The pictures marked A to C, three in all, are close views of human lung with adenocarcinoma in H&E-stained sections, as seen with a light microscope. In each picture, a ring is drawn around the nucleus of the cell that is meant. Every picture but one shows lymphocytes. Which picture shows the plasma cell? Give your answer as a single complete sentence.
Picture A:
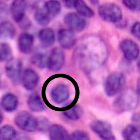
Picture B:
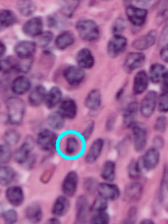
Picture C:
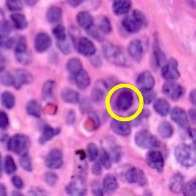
Picture C shows the plasma cell.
